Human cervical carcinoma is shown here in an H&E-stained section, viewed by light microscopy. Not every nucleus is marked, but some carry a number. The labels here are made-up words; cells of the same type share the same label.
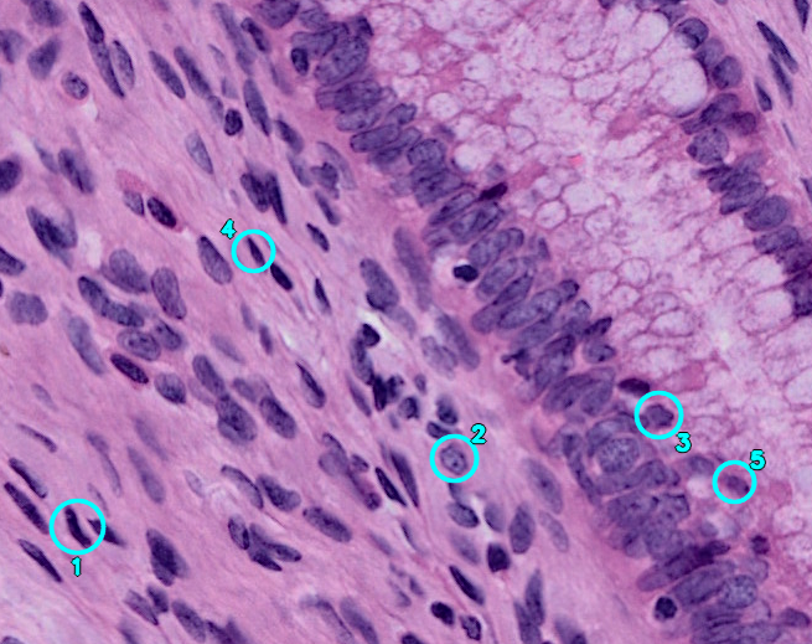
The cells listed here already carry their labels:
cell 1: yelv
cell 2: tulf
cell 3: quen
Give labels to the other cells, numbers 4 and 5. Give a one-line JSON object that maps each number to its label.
{"4": "yelv", "5": "quen"}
